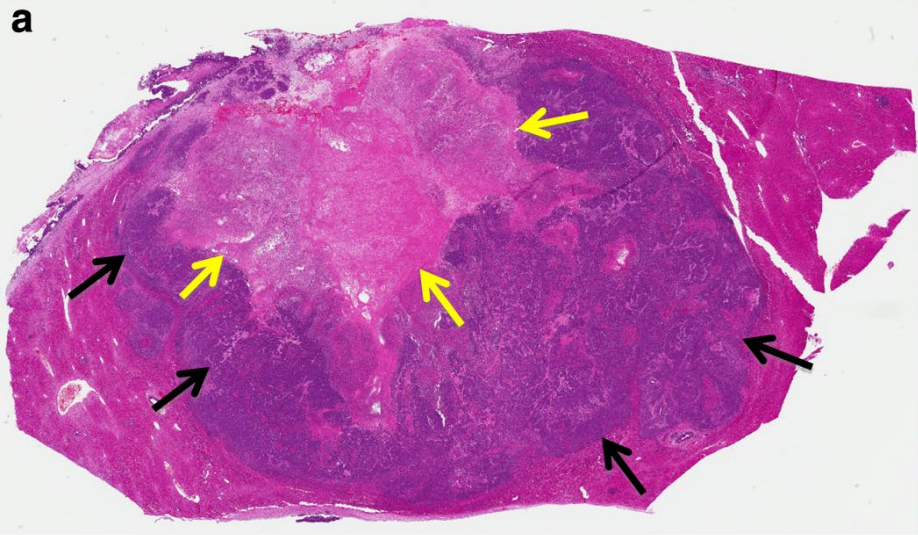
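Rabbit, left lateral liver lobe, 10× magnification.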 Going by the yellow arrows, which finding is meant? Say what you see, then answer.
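The yellow arrows point to pale, pink, washed-out areas in the center of the mass. These areas lack the dense purple nuclear staining of the surrounding mass. That points to this answer: areas of necrosis.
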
